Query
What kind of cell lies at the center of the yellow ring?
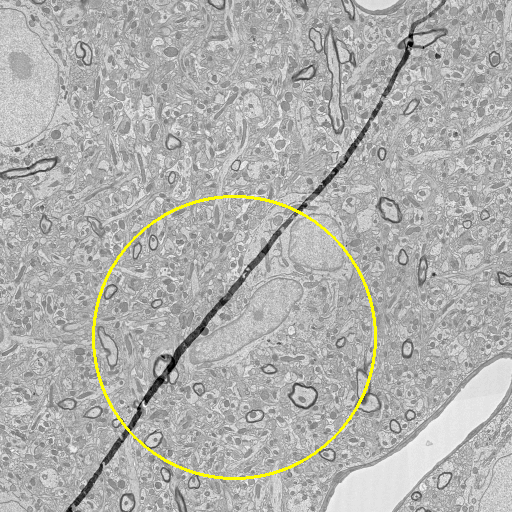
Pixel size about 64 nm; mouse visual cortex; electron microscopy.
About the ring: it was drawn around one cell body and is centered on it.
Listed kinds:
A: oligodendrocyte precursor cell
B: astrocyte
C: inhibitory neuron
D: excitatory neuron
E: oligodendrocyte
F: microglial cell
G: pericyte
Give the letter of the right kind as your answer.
A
